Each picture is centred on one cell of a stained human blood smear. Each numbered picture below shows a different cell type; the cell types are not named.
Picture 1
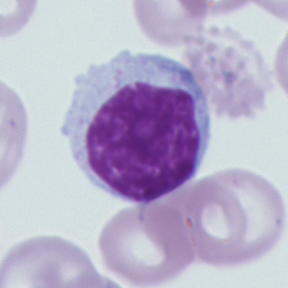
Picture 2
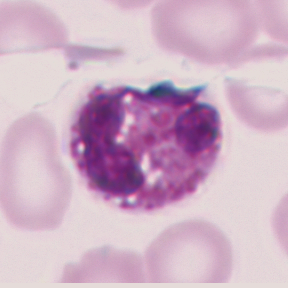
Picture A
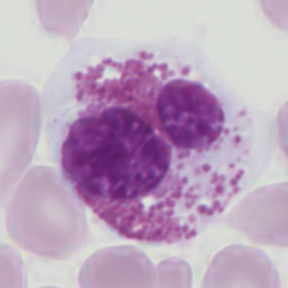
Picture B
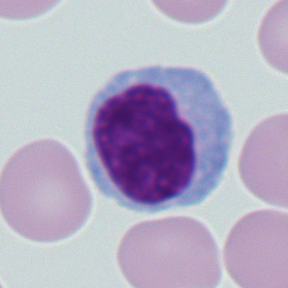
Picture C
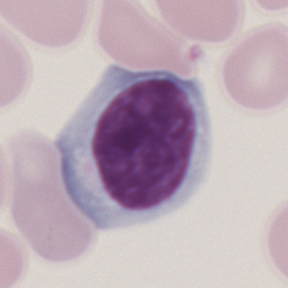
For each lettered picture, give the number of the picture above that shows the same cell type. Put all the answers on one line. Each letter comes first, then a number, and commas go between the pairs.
A 2, B 1, C 1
